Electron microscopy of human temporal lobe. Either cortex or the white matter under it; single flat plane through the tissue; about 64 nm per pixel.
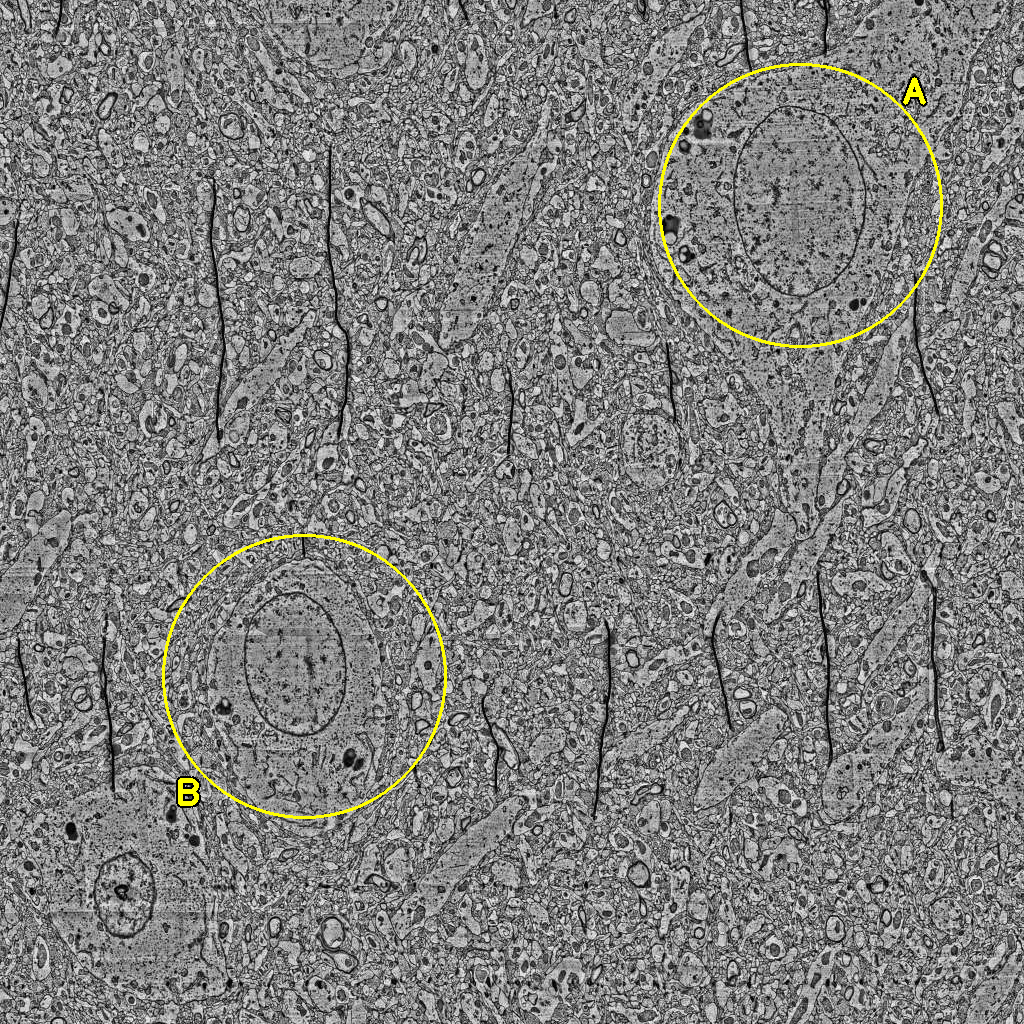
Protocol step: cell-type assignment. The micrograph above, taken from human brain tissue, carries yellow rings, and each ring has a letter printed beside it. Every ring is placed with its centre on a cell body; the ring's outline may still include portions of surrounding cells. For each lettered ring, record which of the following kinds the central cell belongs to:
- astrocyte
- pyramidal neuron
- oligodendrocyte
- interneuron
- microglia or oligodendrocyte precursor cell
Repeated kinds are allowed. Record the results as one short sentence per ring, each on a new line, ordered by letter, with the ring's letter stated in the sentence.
In ring A, the central cell is a pyramidal neuron.
In ring B, the central cell is a pyramidal neuron.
